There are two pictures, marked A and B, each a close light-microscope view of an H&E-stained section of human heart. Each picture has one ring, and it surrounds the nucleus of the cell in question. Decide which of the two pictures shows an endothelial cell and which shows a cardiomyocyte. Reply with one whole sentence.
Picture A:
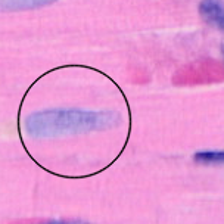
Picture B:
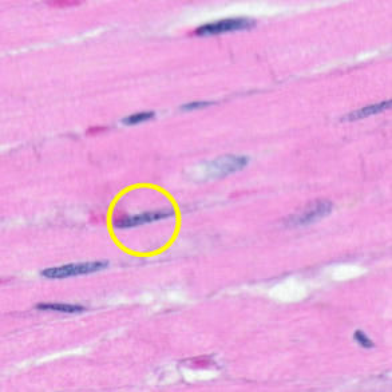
Picture A is of a cardiomyocyte, and picture B is of an endothelial cell.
